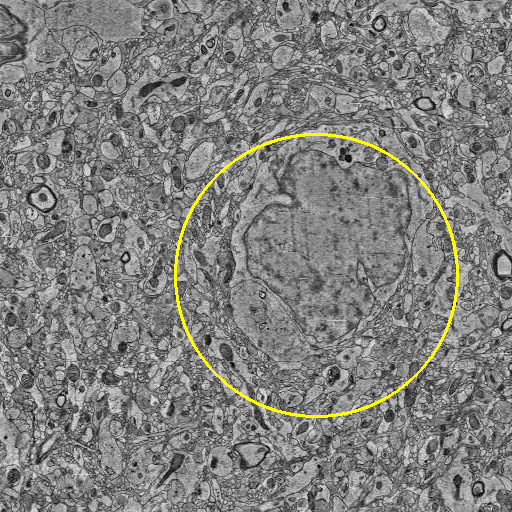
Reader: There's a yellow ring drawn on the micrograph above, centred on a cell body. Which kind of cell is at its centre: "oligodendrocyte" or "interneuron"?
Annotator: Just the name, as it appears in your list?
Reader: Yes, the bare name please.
interneuron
